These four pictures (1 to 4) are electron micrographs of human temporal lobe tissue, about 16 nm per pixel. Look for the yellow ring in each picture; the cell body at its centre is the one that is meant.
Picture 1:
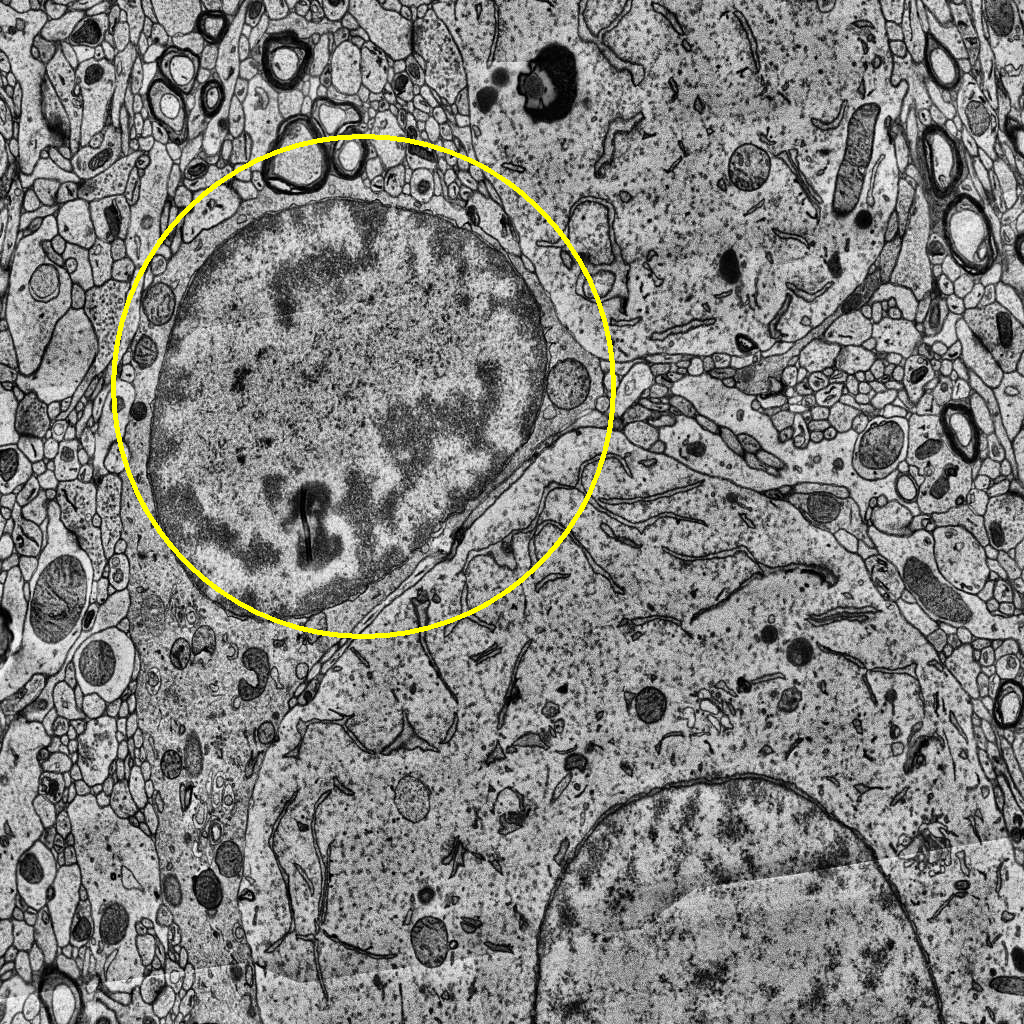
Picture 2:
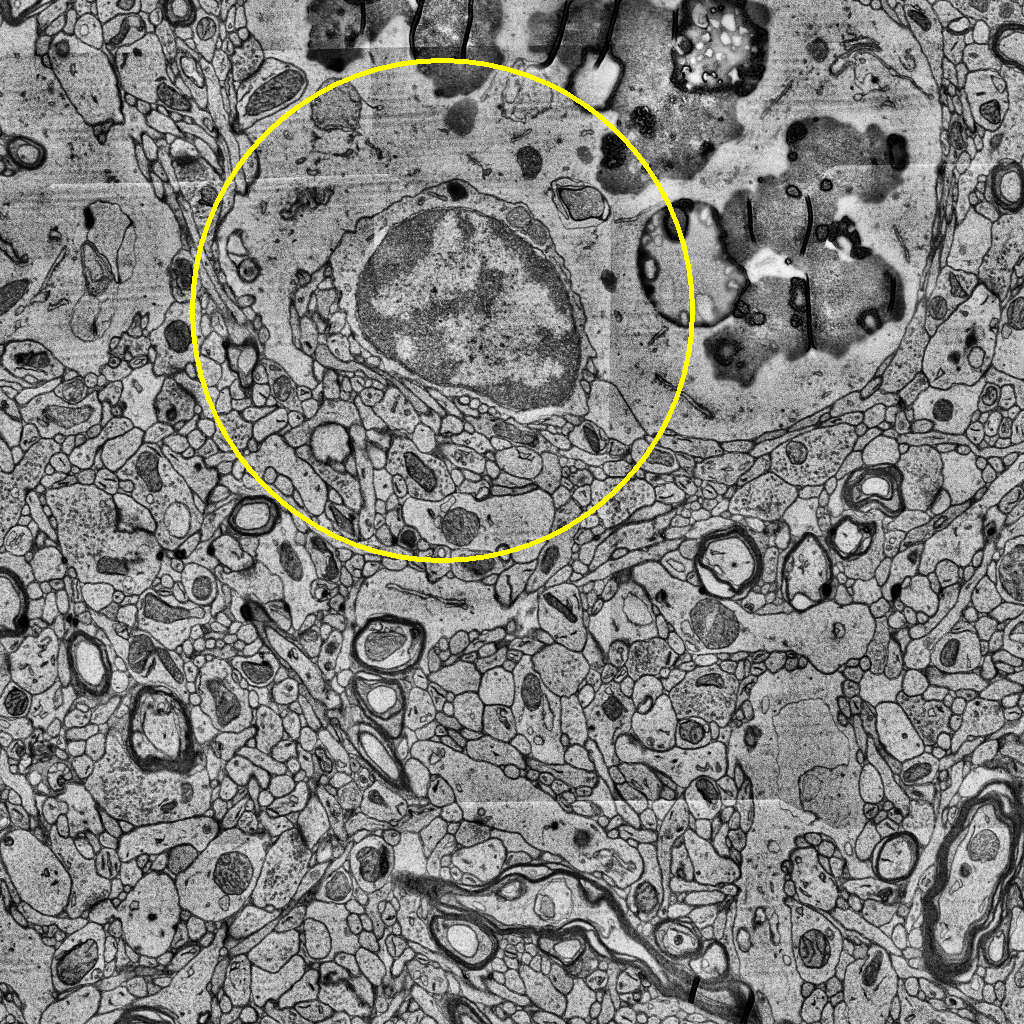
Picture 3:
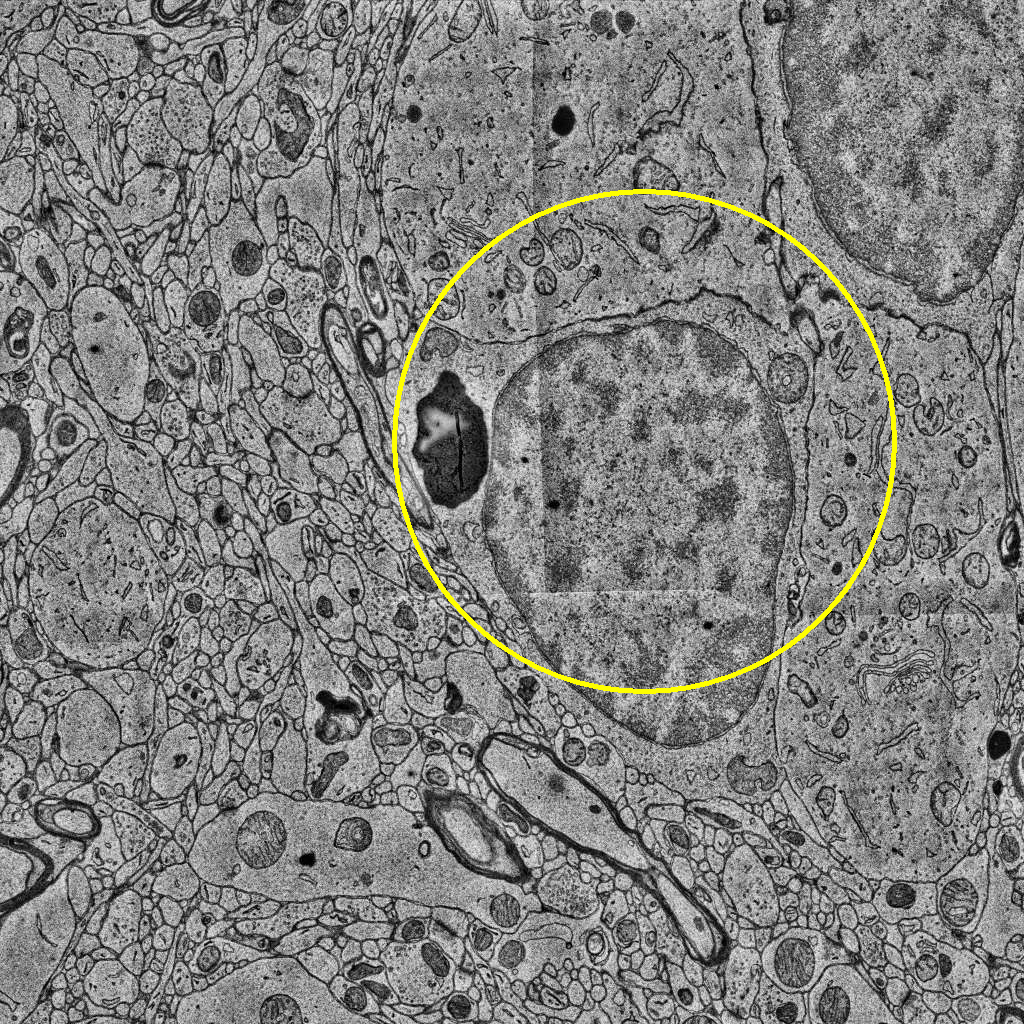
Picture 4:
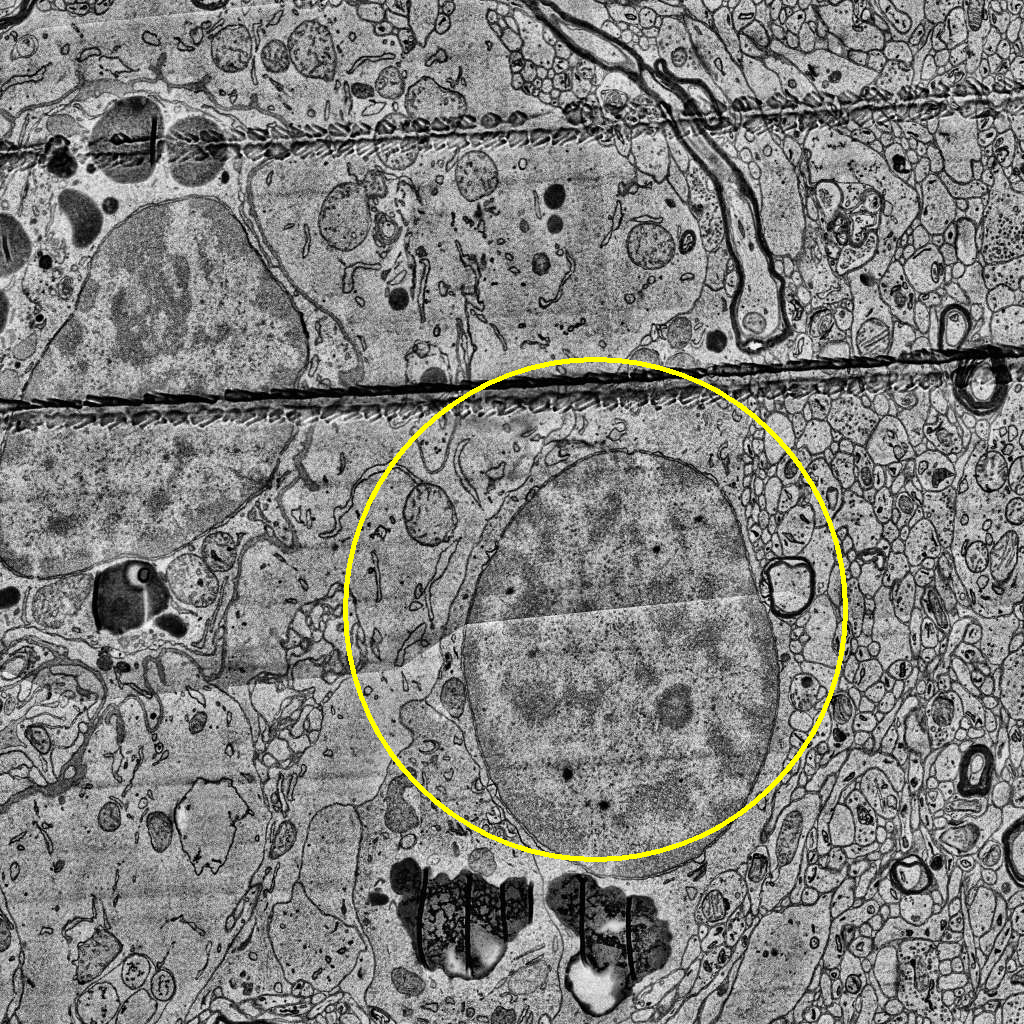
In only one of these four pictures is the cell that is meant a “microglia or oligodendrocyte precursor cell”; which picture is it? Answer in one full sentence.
The picture with the “microglia or oligodendrocyte precursor cell” is 2.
